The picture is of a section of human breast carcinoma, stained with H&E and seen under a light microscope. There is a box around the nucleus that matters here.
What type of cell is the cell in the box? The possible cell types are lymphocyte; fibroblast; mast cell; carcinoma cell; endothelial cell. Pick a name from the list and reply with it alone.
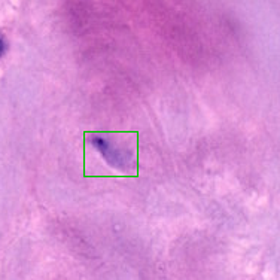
fibroblast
